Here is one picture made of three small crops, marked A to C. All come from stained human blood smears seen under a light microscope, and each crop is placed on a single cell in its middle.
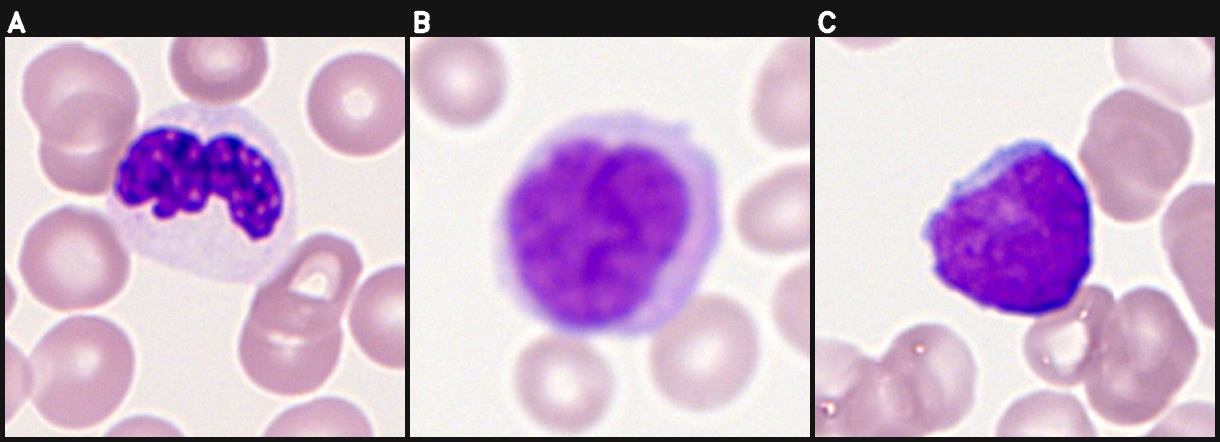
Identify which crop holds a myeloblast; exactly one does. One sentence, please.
On review of the set, crop C is the one showing a myeloblast.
